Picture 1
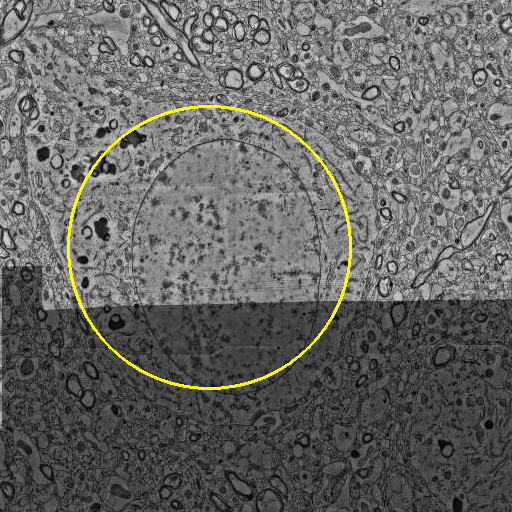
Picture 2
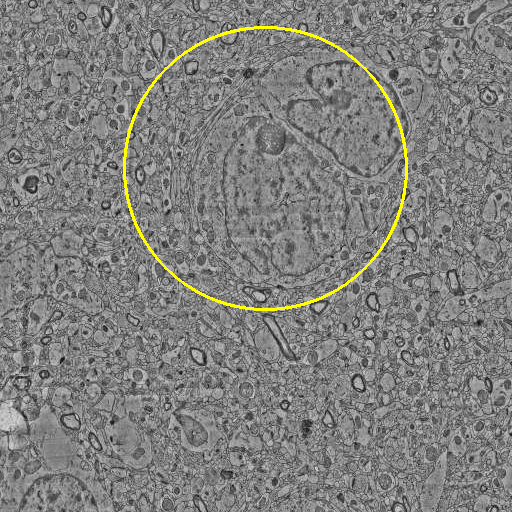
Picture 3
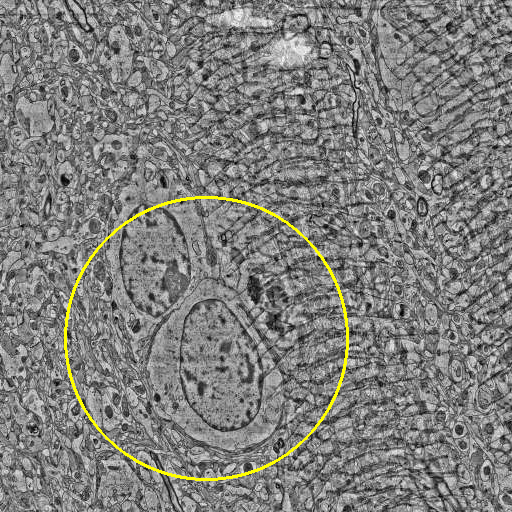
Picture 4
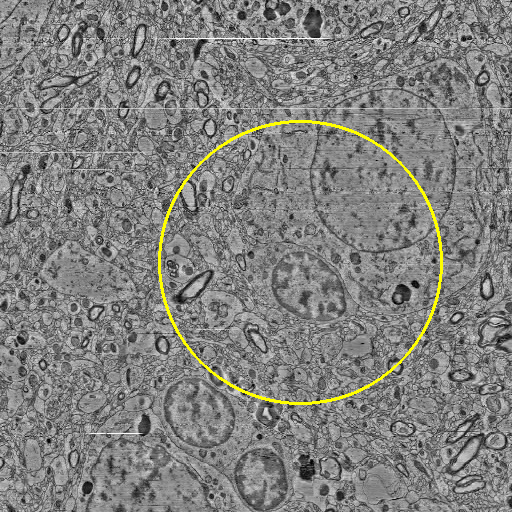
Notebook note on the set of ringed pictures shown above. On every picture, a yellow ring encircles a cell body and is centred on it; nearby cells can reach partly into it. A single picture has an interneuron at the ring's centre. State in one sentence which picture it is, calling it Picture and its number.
Picture 2 is the one whose ring is centred on the sought cell.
